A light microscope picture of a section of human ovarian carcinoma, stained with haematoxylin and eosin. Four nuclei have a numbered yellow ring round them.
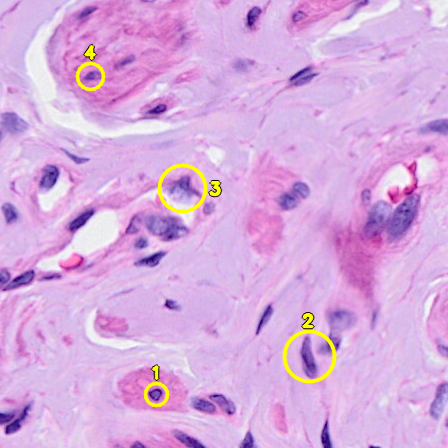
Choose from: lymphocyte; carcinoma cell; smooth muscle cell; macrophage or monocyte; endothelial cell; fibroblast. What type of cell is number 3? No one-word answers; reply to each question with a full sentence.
The marked cell bearing number 3 is an endothelial cell.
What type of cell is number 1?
To a smooth muscle cell belongs the nucleus marked 1.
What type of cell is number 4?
Cell number 4 in this section is a smooth muscle cell.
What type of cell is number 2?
Identified by the number 2, the cell is a fibroblast.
